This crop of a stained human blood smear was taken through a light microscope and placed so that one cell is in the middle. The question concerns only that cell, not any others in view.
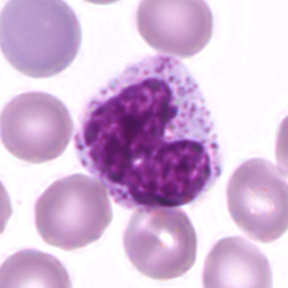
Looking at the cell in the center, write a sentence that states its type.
By classification, the middle cell of this crop is a band neutrophil.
